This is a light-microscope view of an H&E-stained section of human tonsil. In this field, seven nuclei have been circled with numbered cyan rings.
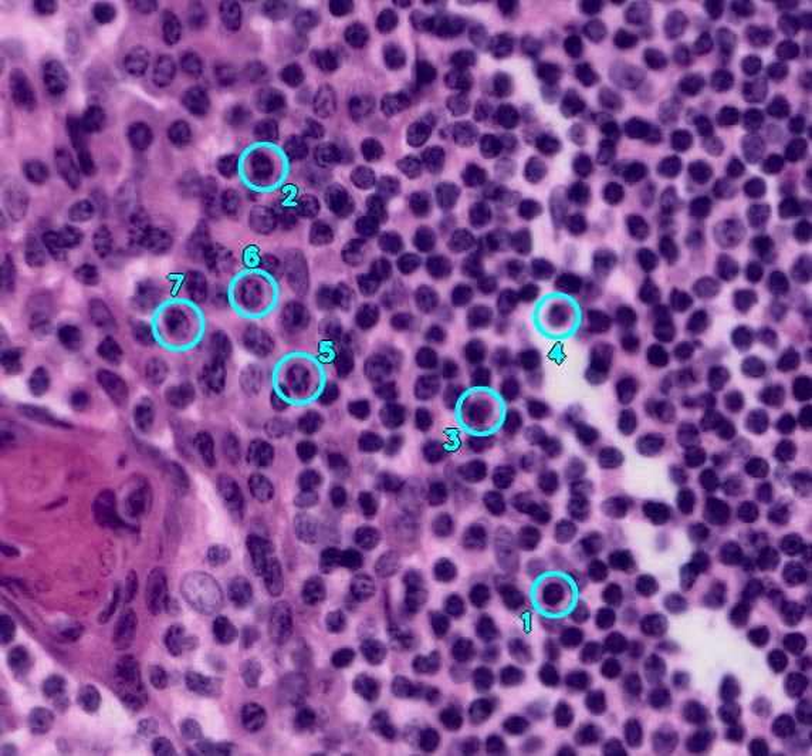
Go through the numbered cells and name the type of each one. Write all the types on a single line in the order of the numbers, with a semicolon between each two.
small lymphocyte; plasma cell; small lymphocyte; small lymphocyte; plasma cell; plasma cell; plasma cell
